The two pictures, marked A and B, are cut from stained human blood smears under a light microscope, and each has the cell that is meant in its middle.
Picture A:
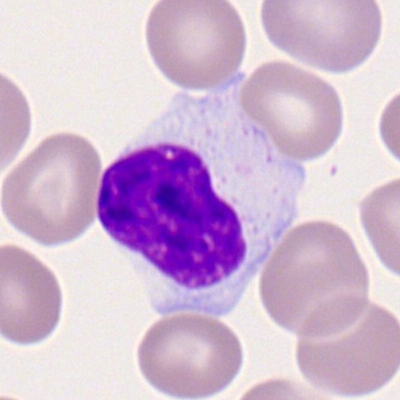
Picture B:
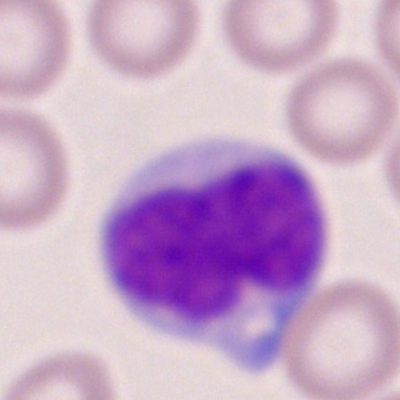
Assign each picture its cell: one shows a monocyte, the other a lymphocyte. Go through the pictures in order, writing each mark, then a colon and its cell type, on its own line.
A: lymphocyte
B: monocyte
